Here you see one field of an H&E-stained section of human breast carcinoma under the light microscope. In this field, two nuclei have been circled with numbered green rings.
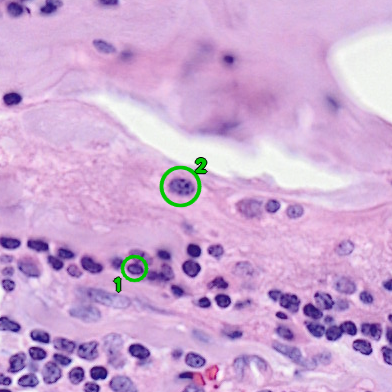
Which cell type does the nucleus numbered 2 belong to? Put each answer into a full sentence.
The cell marked with the number 2 is a mast cell.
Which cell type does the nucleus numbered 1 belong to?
Looking at the numbered marks, cell 1 is a lymphocyte.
